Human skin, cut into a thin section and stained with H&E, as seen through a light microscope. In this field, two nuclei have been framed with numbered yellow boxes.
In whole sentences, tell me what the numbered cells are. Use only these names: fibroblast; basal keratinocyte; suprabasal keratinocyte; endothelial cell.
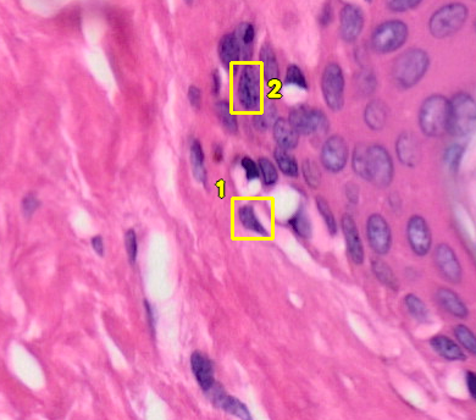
Cell 1 is a fibroblast. Cell 2 is a basal keratinocyte.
